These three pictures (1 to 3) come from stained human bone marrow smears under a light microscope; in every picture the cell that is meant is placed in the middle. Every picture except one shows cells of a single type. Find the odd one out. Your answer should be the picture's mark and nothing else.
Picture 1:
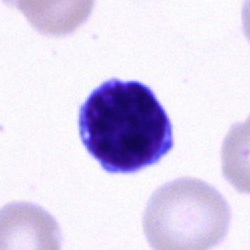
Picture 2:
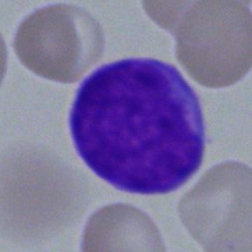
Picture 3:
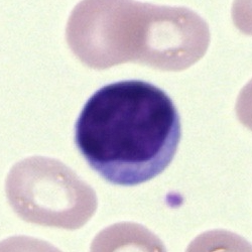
2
